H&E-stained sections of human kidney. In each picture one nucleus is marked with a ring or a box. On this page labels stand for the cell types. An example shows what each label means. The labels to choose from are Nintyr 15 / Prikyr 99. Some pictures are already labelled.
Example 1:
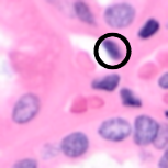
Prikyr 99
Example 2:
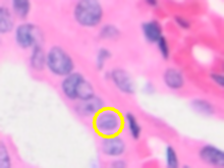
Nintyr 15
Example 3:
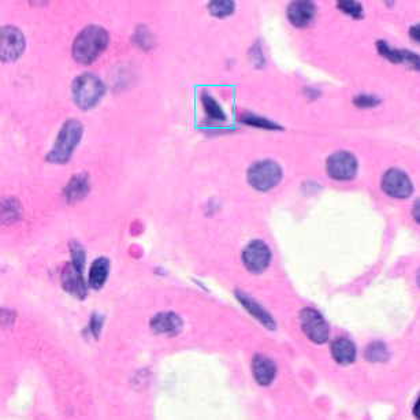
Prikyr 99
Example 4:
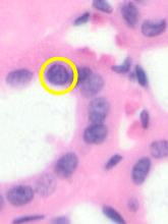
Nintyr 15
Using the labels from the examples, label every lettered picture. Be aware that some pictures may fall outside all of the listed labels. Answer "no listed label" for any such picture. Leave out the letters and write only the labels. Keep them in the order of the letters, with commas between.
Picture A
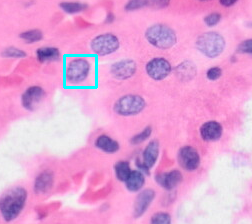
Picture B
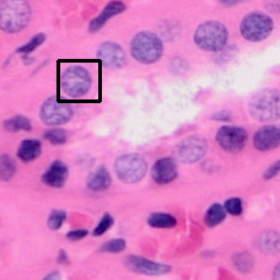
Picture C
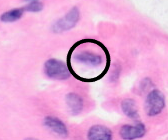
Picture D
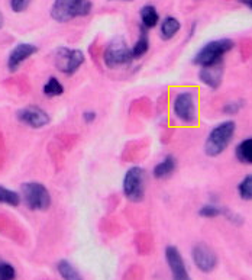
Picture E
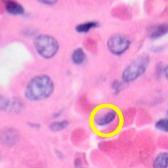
no listed label, Nintyr 15, no listed label, Prikyr 99, Prikyr 99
